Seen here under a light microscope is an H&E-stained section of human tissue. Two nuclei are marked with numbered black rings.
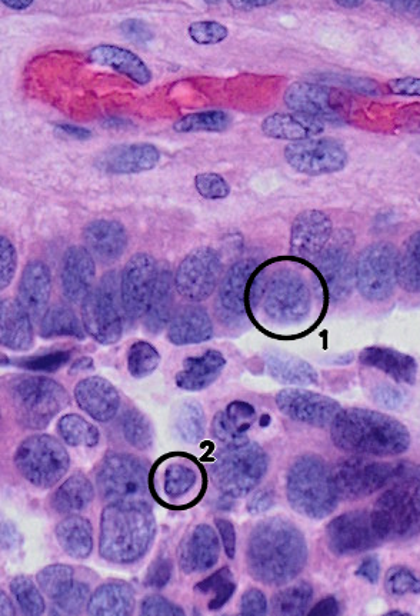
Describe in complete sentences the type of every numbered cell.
Cell 1 is a carcinoma cell and cell 2 is a macrophage or monocyte.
